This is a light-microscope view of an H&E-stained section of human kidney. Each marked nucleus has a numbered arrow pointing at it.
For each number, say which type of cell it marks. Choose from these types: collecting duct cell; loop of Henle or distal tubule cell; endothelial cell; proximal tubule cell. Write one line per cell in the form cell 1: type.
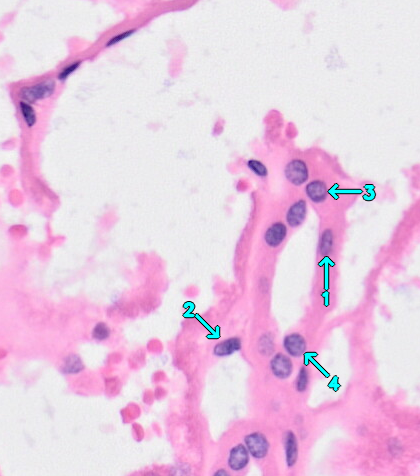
cell 1: collecting duct cell
cell 2: endothelial cell
cell 3: collecting duct cell
cell 4: collecting duct cell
